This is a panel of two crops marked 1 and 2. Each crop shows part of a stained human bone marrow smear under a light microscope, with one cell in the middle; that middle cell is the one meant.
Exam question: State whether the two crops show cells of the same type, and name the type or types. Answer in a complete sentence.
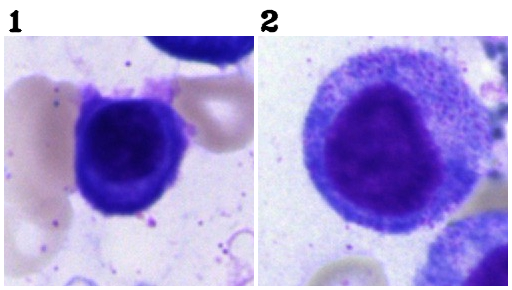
No, the cell centred in crop 1 is a plasma cell, and that centred in crop 2 is a promyelocyte.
